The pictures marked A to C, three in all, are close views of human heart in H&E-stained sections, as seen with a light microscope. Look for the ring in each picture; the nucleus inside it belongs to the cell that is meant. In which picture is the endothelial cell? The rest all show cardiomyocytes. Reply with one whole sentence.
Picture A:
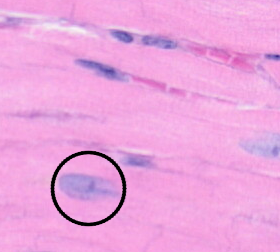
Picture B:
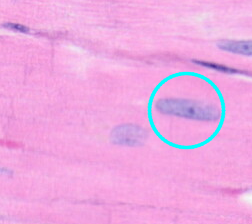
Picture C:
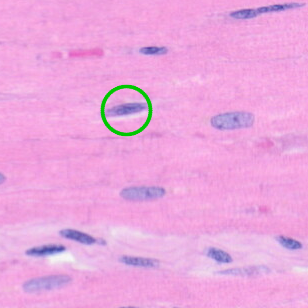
The picture with the endothelial cell is C.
